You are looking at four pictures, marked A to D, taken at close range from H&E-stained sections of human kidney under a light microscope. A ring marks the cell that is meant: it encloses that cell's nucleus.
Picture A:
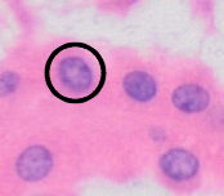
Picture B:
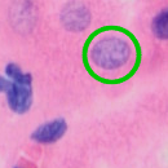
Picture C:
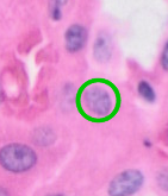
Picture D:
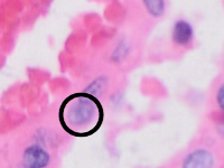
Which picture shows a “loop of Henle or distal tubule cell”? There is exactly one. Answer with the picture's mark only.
C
